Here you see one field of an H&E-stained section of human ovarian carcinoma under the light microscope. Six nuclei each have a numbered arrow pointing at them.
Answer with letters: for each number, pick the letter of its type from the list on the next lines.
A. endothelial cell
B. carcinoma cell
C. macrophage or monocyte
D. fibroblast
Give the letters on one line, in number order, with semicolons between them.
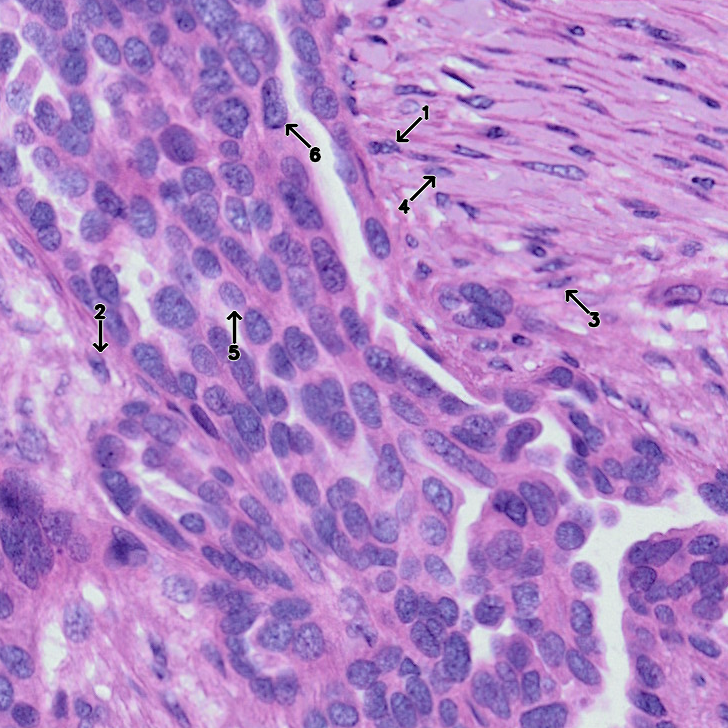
D; D; D; D; B; B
